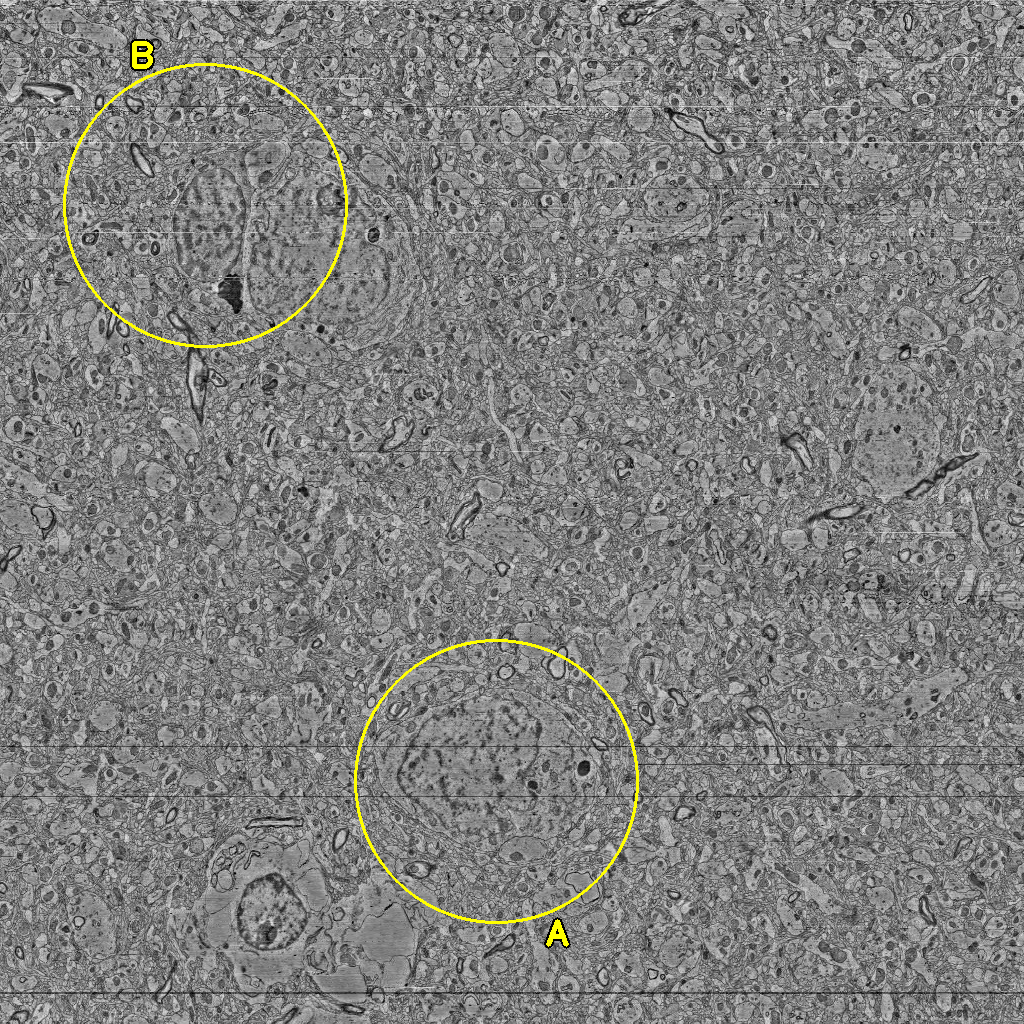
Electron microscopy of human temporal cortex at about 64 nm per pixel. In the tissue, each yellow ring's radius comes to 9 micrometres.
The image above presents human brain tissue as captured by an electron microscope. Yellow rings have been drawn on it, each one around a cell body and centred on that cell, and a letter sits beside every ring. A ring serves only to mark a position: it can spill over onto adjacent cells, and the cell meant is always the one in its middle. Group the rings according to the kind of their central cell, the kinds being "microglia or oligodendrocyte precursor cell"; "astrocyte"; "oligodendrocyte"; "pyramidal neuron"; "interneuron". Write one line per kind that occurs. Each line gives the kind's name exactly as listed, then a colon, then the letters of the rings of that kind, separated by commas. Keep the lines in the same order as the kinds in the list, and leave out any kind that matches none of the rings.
oligodendrocyte: B
interneuron: A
